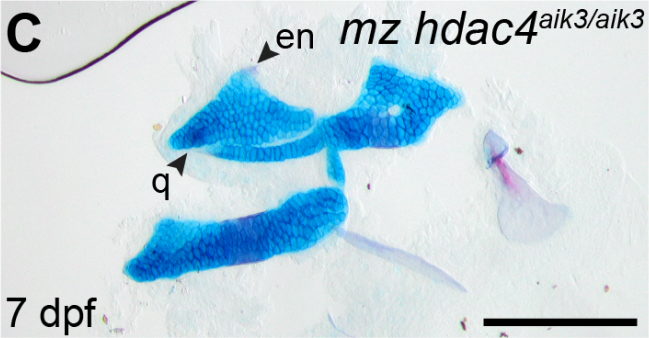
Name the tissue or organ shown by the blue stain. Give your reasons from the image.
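Cartilage. Blue-stained plate-like and rod-like elements. The elements are made of closely packed rounded cells in rows and stacks.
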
